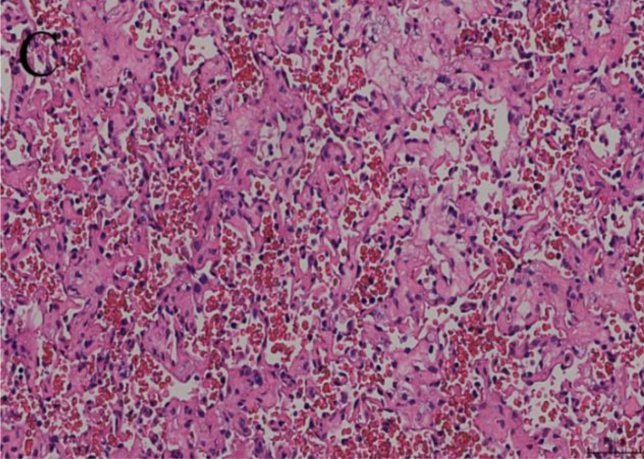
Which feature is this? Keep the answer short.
Irregular and variously sized capillary networks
